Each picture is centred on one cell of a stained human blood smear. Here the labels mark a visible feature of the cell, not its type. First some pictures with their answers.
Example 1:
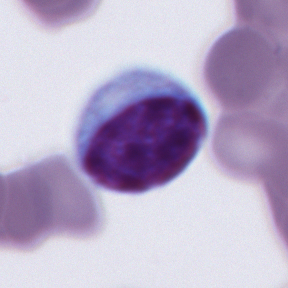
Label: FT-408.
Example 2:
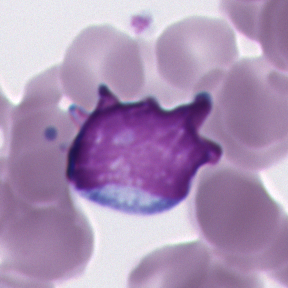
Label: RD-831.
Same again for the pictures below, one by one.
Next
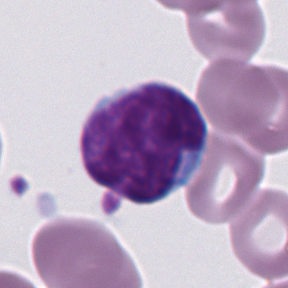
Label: FT-408.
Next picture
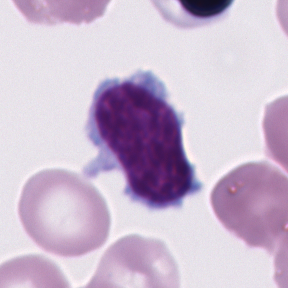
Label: RD-831.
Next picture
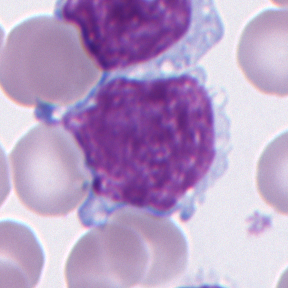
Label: RD-831.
